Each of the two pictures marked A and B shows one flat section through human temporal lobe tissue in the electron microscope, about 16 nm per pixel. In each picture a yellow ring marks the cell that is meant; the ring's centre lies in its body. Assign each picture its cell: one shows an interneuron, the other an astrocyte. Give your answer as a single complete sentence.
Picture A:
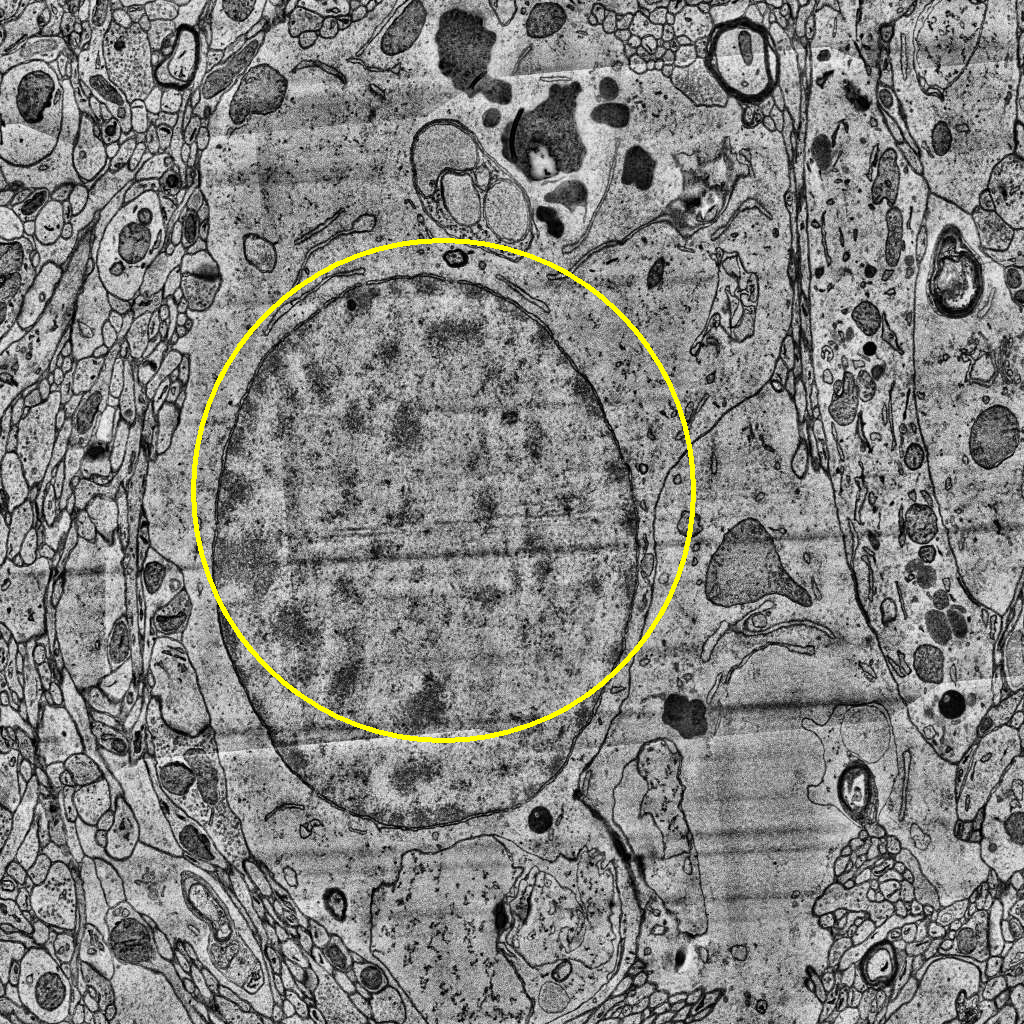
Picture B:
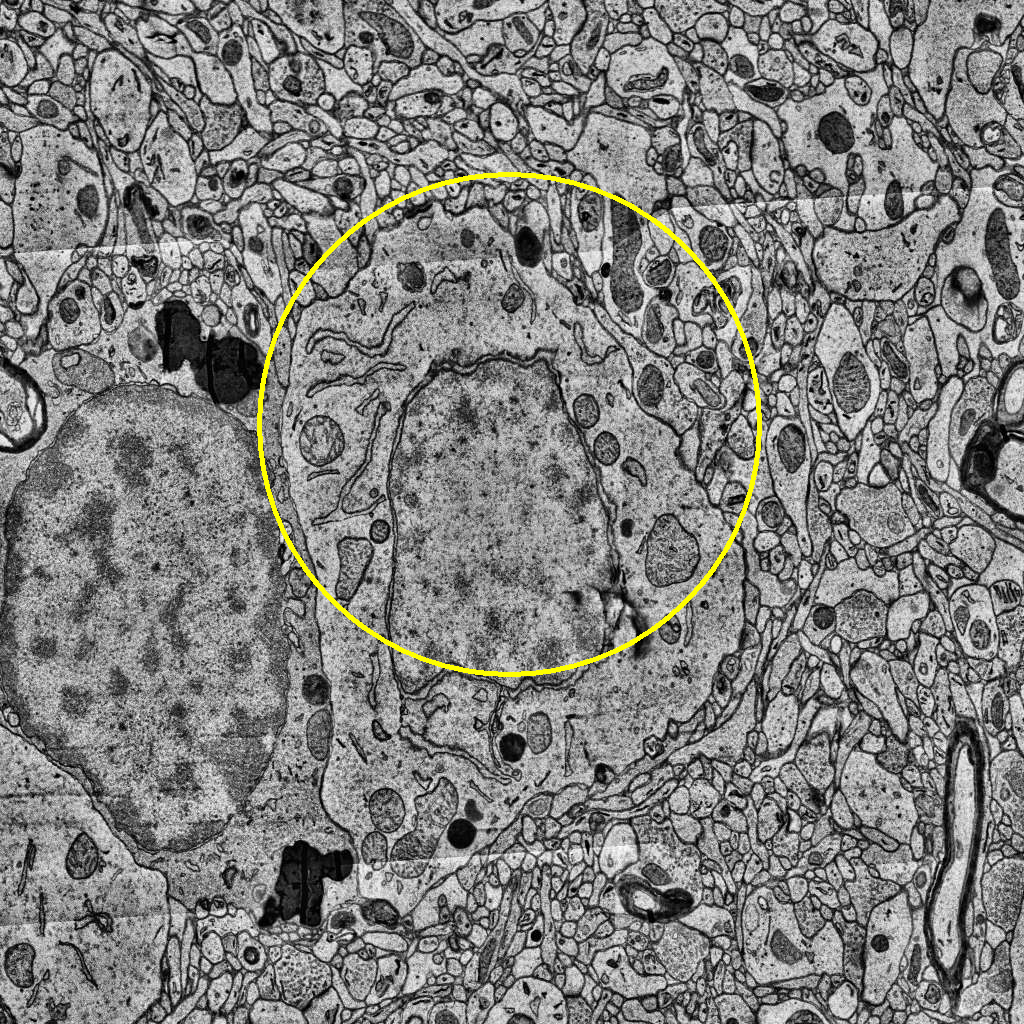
The cell in picture A is an astrocyte, and the one in picture B is an interneuron.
